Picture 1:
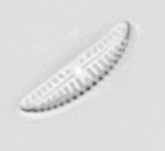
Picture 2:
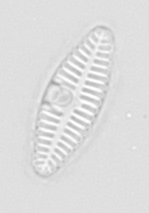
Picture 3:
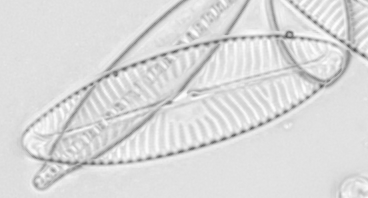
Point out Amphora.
That is picture 1.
